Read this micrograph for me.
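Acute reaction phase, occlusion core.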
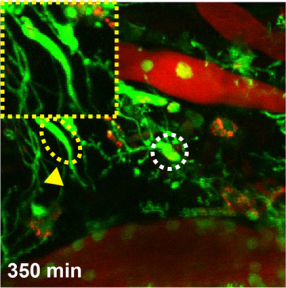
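Green cells with small bodies and fine processes lie between broad red vessels, and one cell marked at lower left has a long, narrow, rod-like body instead of a round one. The inset shows this elongated body lying along long thin parallel strands. This is a microglial cell whose cell body has taken on a filamentous-like shape.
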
